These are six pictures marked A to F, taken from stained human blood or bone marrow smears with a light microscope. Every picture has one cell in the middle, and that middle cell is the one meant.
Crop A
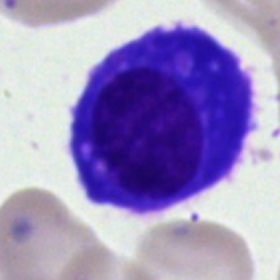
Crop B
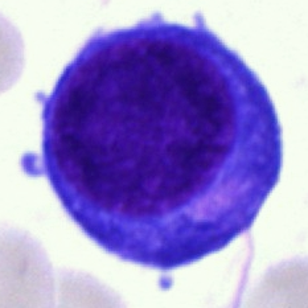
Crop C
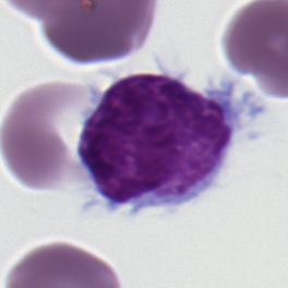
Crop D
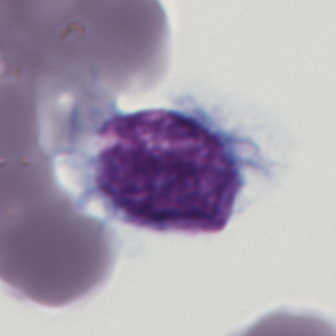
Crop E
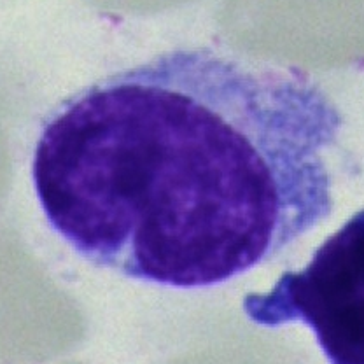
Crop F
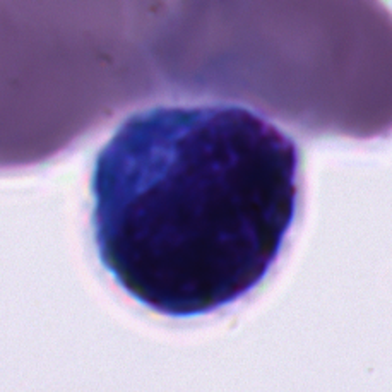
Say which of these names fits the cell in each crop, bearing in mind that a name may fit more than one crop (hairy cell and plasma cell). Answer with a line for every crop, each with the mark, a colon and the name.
A: plasma cell
B: plasma cell
C: hairy cell
D: hairy cell
E: hairy cell
F: plasma cell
